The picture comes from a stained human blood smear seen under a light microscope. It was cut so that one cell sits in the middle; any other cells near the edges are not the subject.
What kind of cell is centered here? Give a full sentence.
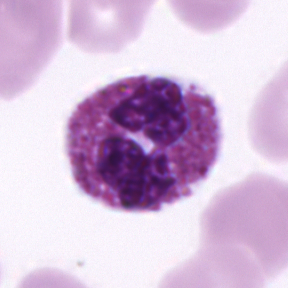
The cell marked by its central position in the crop is an eosinophil.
